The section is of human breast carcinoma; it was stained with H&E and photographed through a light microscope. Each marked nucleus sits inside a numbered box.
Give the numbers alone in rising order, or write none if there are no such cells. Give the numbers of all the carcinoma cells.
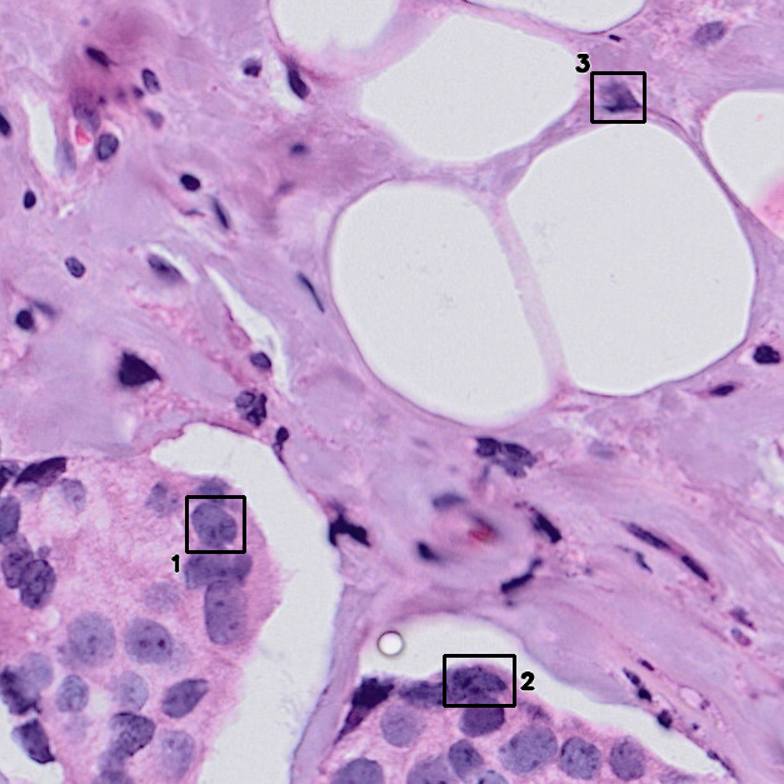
1, 2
